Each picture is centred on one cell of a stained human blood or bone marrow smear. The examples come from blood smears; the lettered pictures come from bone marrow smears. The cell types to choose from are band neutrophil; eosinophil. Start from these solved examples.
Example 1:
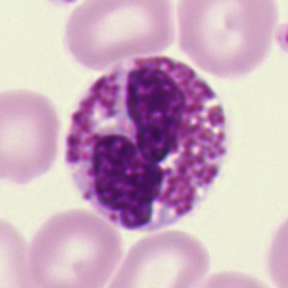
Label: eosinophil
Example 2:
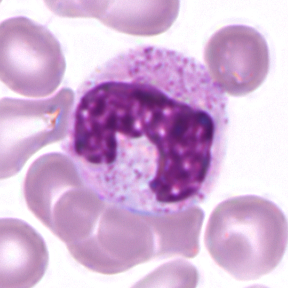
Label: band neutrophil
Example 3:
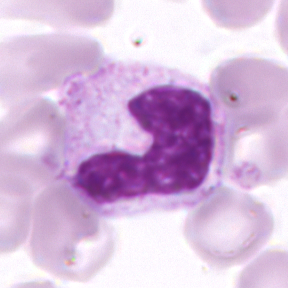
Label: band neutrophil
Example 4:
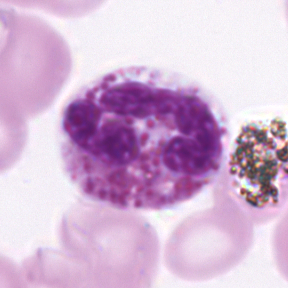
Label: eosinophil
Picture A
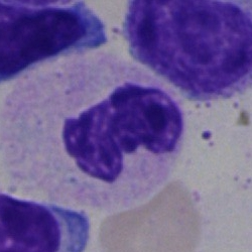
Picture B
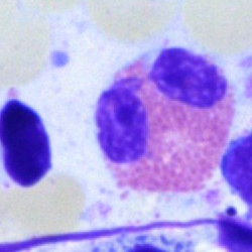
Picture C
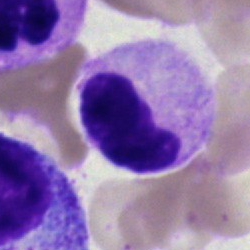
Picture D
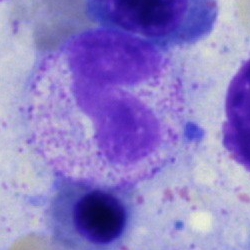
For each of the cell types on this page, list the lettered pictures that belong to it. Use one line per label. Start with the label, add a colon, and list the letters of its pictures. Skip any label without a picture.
band neutrophil: A, C, D
eosinophil: B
